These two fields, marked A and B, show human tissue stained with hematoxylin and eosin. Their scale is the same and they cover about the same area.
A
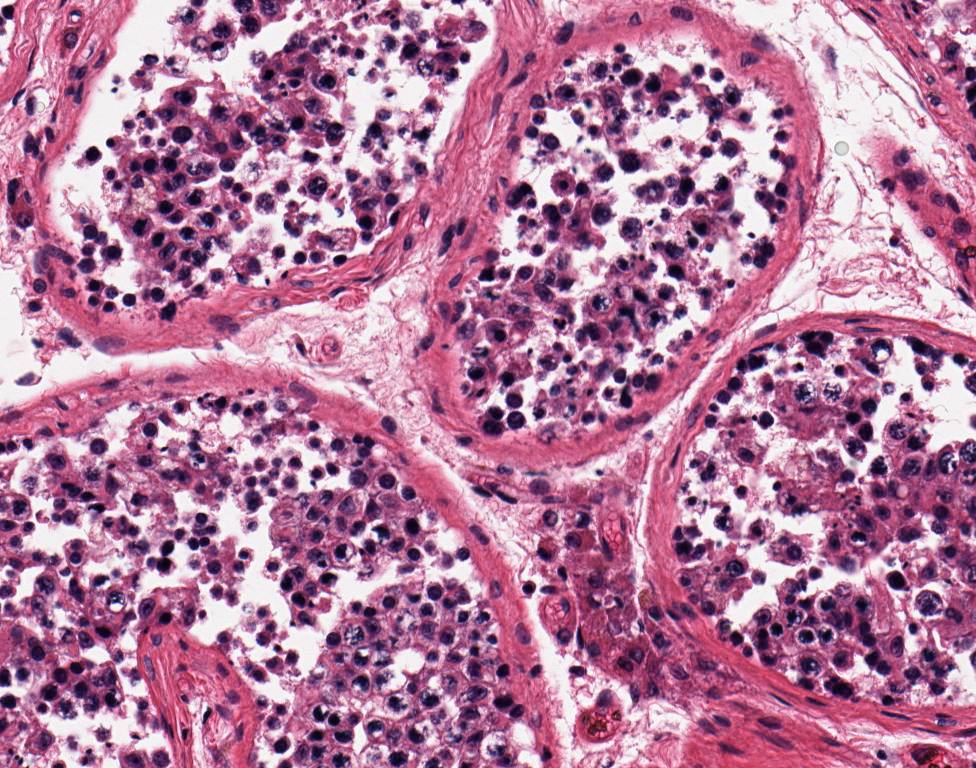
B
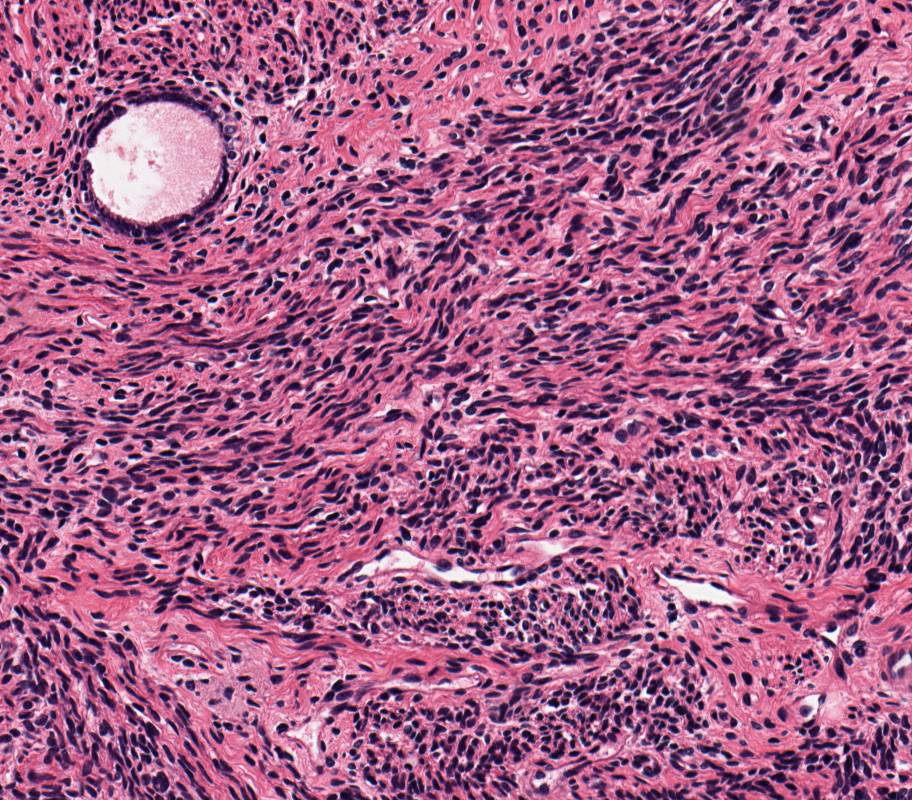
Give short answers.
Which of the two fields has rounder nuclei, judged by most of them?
A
